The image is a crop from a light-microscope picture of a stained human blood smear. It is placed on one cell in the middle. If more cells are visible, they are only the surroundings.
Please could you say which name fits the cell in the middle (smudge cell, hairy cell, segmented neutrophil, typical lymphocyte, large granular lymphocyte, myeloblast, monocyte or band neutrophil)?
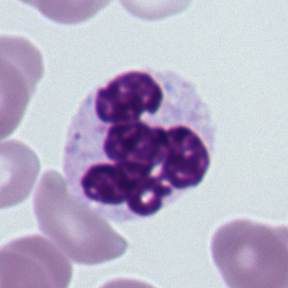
segmented neutrophil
